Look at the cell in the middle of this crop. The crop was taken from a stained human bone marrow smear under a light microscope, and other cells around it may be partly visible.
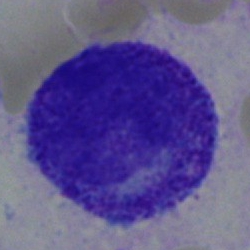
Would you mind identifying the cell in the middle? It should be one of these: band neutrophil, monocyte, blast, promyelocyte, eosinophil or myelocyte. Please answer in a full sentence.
The central cell in this smear crop is a promyelocyte.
